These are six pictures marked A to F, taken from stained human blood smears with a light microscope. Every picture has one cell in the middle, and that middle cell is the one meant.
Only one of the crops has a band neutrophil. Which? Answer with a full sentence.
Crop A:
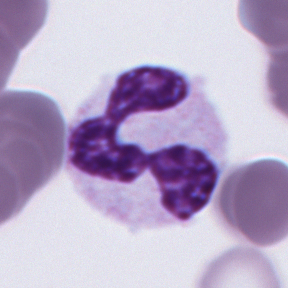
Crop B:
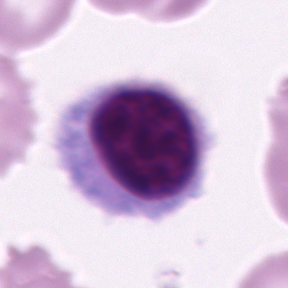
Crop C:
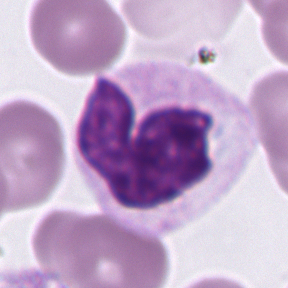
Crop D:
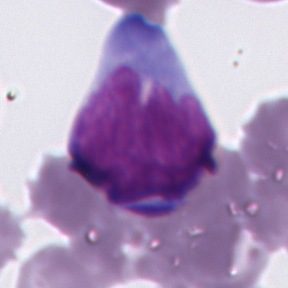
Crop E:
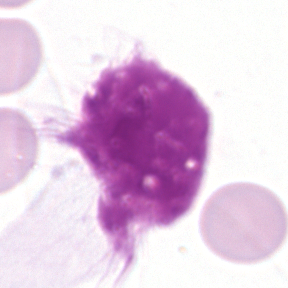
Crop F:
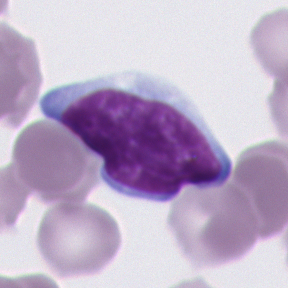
It is the cell in crop C that is a band neutrophil.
